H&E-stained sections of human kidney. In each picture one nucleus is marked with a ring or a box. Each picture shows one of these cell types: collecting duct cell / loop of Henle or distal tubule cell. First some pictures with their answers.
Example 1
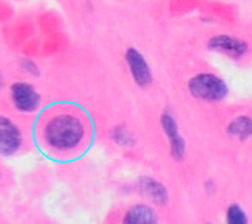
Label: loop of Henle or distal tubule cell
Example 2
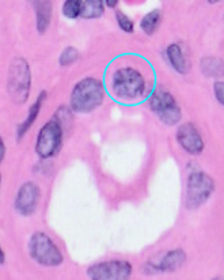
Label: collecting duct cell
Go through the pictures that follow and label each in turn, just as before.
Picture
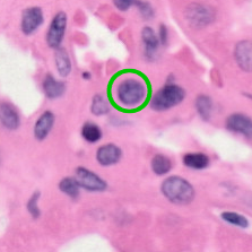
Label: collecting duct cell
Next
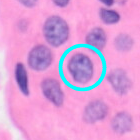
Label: loop of Henle or distal tubule cell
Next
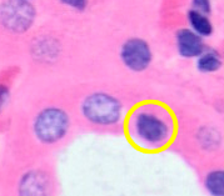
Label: loop of Henle or distal tubule cell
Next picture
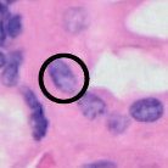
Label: collecting duct cell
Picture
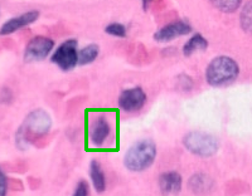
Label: loop of Henle or distal tubule cell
